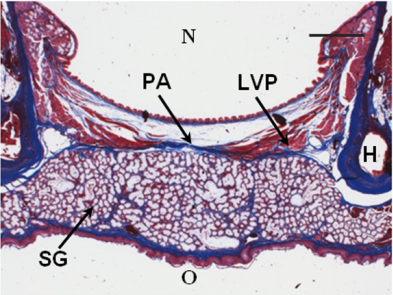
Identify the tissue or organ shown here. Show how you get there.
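A plate of tissue lies between a nasal space above and an oral space below. Its bulk is made of lobules of pale glandular acini. Red muscle fibres run above the glands and a thin epithelium covers both surfaces. The answer: soft palate.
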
